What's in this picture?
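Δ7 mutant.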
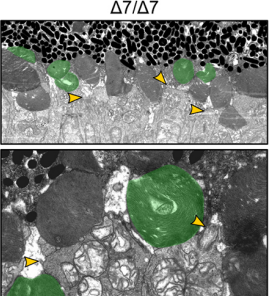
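This shows photoreceptor outer segments in the outer retina beneath a band of black pigment granules, several of them misshapen. Some outer segments, tinted green, are rounded and whorled rather than straight stacks of discs. Pale empty gaps lie between outer segments and the mitochondria-rich inner segments below, marked by arrowheads, so some outer segments are no longer attached.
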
